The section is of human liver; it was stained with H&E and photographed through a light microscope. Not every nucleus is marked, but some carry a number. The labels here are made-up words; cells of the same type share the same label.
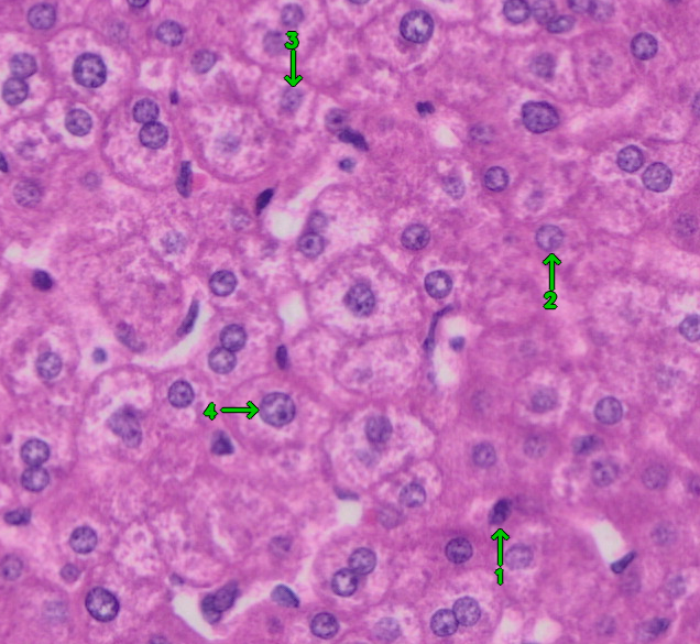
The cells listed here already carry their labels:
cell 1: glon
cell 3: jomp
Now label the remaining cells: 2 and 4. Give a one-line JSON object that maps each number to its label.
{"2": "jomp", "4": "jomp"}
